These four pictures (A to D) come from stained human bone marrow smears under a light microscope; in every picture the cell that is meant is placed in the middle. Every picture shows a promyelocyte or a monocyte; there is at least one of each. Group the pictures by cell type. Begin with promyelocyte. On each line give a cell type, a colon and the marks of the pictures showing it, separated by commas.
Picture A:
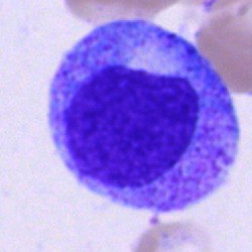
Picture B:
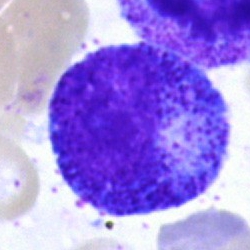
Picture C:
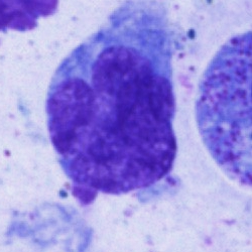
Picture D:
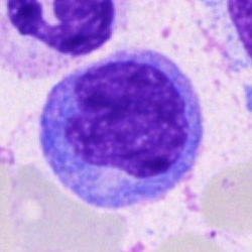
promyelocyte: A, B
monocyte: C, D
